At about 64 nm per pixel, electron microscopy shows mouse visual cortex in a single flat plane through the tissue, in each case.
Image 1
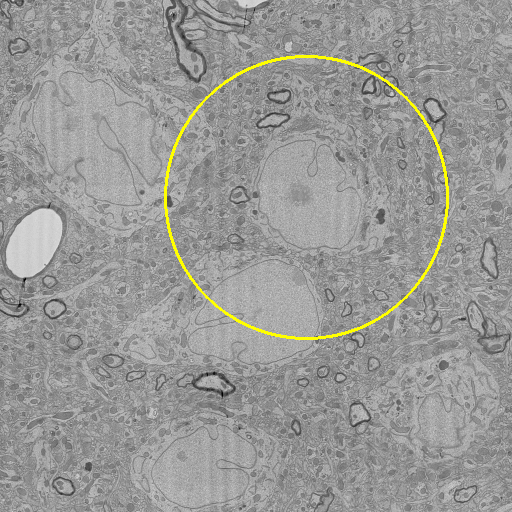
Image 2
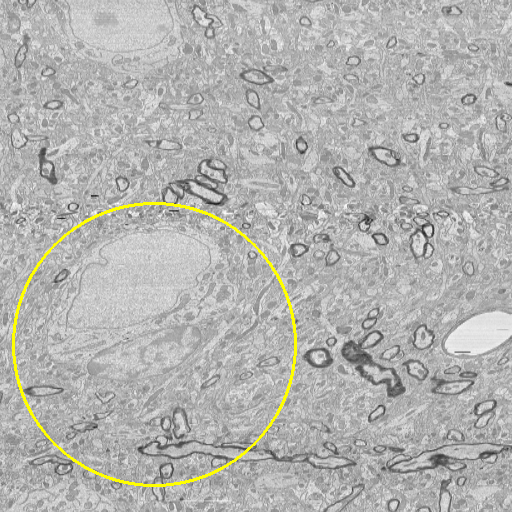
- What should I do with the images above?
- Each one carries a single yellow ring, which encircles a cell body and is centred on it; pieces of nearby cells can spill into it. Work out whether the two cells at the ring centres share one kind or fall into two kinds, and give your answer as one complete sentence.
The ring-centre cells of Image 1 and Image 2 fall into two kinds.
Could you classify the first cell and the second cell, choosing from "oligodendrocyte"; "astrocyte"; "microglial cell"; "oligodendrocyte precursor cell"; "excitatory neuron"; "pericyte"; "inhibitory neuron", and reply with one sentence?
The second cell is an oligodendrocyte, while the first is an excitatory neuron.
